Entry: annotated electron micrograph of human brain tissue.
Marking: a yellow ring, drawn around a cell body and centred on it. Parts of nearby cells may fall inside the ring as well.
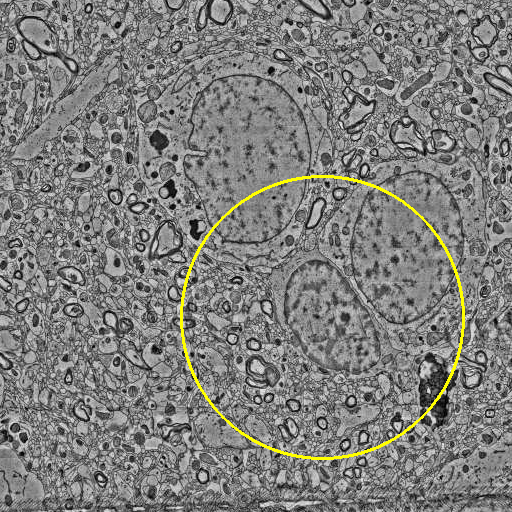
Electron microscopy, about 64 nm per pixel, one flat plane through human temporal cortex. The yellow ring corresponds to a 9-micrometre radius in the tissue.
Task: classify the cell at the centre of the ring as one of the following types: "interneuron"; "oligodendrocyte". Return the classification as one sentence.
The marked cell is classified as an oligodendrocyte.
